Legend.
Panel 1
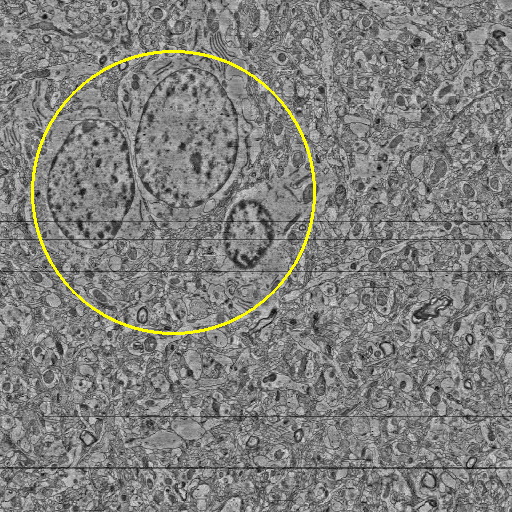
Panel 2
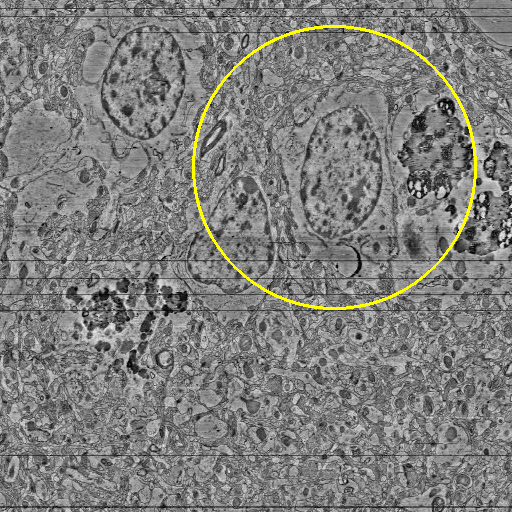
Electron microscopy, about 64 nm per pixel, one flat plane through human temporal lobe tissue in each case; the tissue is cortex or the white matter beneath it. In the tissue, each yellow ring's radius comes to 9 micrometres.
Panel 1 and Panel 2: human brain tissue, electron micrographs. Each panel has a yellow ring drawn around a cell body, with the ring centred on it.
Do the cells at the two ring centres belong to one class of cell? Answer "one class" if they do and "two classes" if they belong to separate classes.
one class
